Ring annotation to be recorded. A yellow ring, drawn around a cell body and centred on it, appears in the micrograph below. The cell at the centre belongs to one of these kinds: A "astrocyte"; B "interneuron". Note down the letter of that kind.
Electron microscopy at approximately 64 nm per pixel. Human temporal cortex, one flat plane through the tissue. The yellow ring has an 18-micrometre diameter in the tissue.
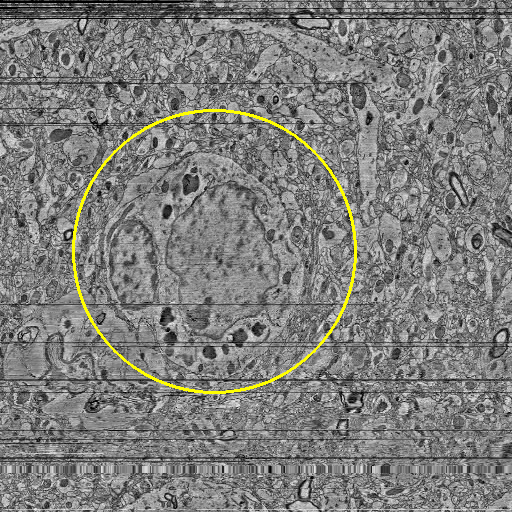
B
